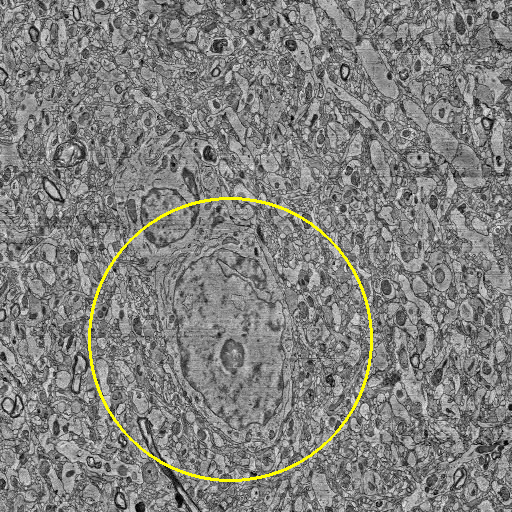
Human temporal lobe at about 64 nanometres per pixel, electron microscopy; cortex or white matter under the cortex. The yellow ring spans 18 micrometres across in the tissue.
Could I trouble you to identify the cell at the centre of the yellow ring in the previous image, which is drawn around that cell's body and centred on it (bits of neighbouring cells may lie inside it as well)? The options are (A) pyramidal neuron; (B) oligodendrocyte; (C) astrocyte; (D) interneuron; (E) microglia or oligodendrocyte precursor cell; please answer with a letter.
D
